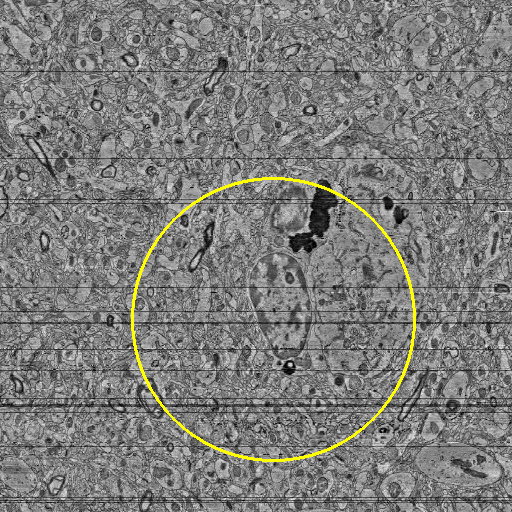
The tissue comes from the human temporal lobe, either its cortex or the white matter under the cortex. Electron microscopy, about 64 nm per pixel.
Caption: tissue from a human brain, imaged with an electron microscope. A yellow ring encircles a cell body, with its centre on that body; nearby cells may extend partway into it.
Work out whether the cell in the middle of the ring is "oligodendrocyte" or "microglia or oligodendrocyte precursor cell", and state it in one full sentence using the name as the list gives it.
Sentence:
In the picture, the cell that the yellow ring surrounds at its centre is a microglial cell or oligodendrocyte precursor cell.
